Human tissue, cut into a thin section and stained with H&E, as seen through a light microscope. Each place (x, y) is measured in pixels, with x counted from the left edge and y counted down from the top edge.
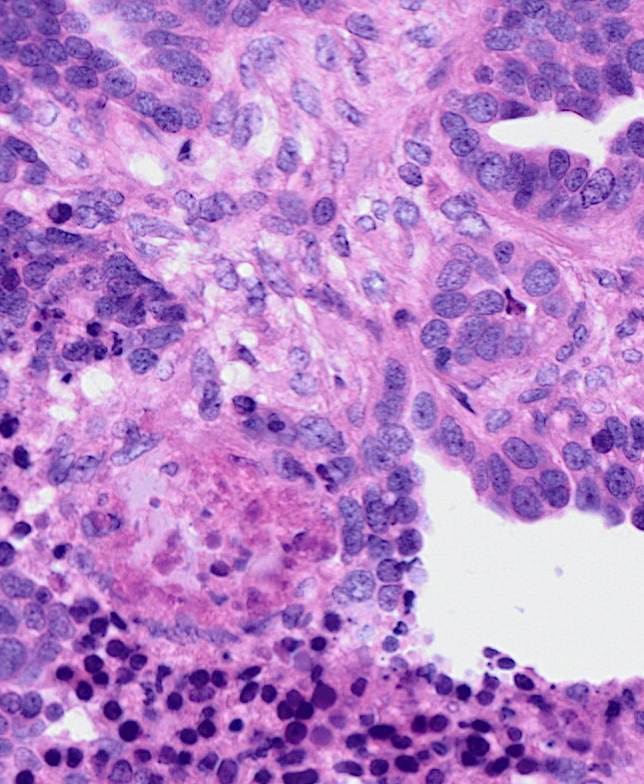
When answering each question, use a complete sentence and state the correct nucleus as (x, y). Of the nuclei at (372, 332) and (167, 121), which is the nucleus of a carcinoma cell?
Rather than the other nucleus, the one at (167, 121) belongs to a carcinoma cell.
